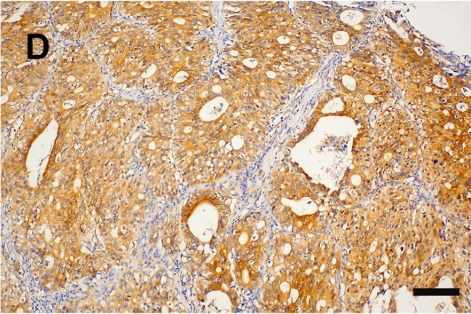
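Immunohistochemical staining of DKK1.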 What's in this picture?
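Tumor tissue arranged as large solid nests of epithelial cells separated by thin bands of blue-stained fibrous stroma. Within the nests many small round and some larger irregular gland-like lumina are punched out, some containing pale debris. The epithelial cells have abundant cytoplasm that is diffusely and strongly stained brown, with nuclei partly obscured by the stain. The stromal septa between nests remain blue and unstained, with spindle-shaped cells, so the brown colour outlines the epithelial compartment sharply.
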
